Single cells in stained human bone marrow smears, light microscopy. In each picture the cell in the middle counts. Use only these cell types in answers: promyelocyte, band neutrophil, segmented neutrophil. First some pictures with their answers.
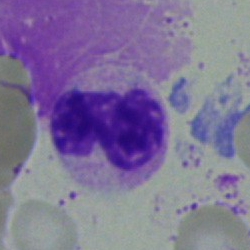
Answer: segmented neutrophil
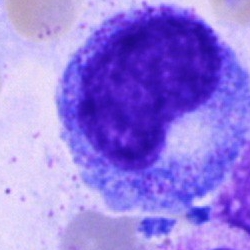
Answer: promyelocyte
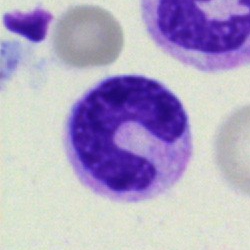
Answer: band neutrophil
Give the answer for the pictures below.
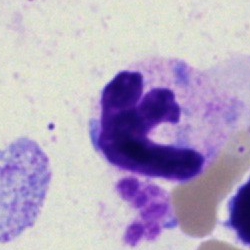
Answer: segmented neutrophil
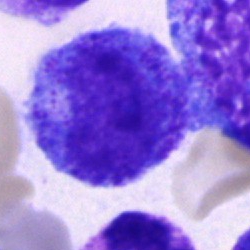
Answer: promyelocyte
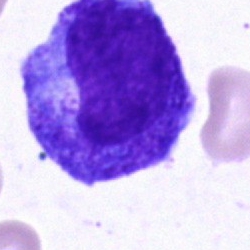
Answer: promyelocyte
